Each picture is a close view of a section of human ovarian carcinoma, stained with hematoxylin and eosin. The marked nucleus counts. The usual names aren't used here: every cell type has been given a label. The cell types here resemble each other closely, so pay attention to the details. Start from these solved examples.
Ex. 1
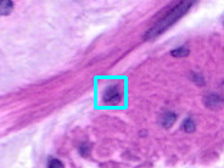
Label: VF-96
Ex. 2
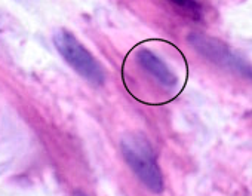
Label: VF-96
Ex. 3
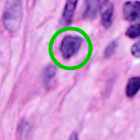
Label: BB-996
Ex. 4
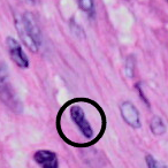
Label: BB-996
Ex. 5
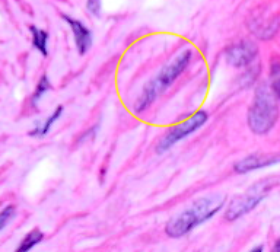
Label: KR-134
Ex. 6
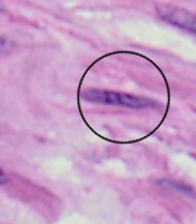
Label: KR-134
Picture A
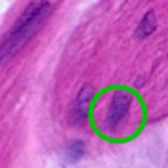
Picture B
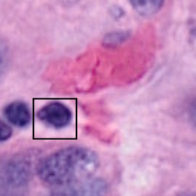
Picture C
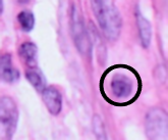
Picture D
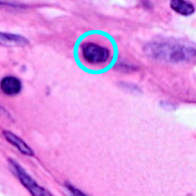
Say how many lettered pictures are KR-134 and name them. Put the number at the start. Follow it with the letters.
0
